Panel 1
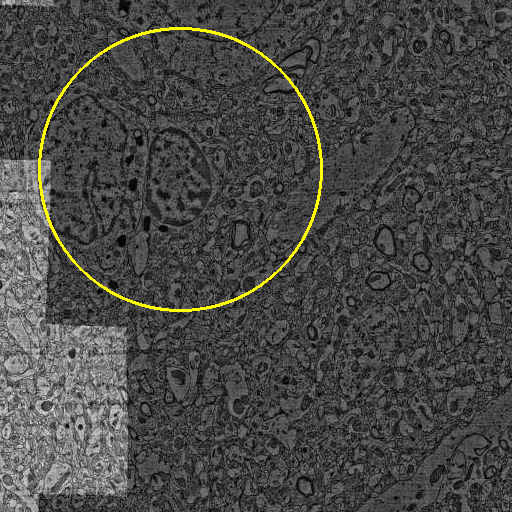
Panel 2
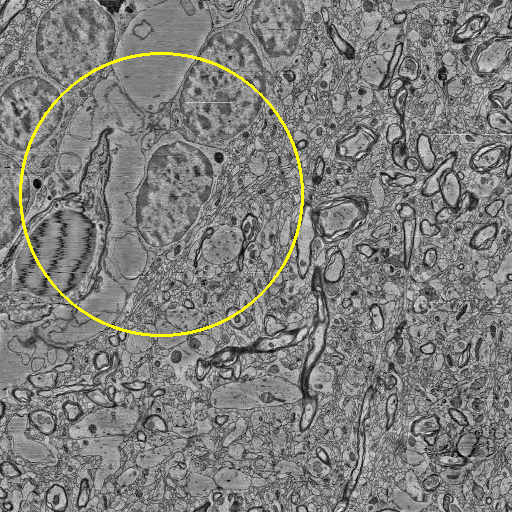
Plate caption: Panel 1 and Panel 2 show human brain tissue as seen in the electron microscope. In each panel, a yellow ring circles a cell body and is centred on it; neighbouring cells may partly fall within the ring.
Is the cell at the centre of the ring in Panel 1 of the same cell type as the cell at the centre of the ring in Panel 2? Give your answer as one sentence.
Yes, the two cells are of the same type.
